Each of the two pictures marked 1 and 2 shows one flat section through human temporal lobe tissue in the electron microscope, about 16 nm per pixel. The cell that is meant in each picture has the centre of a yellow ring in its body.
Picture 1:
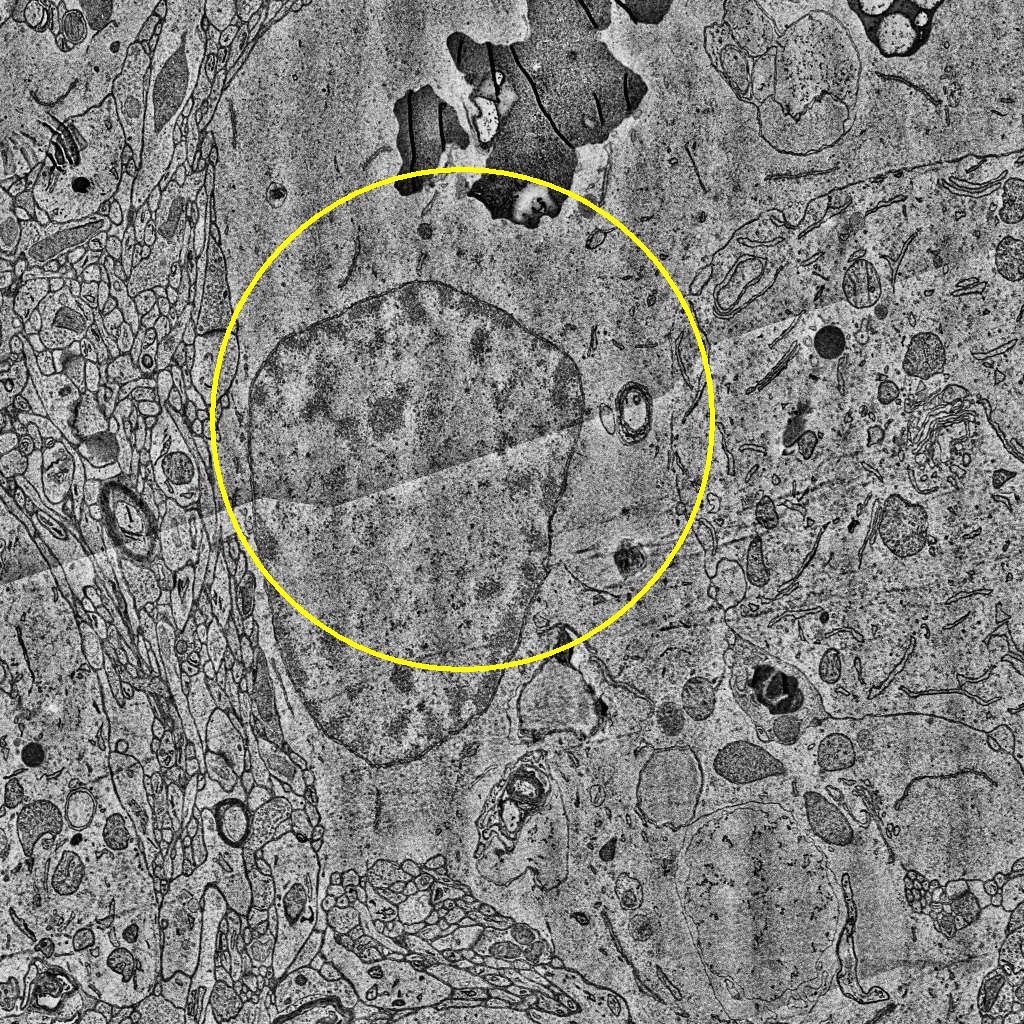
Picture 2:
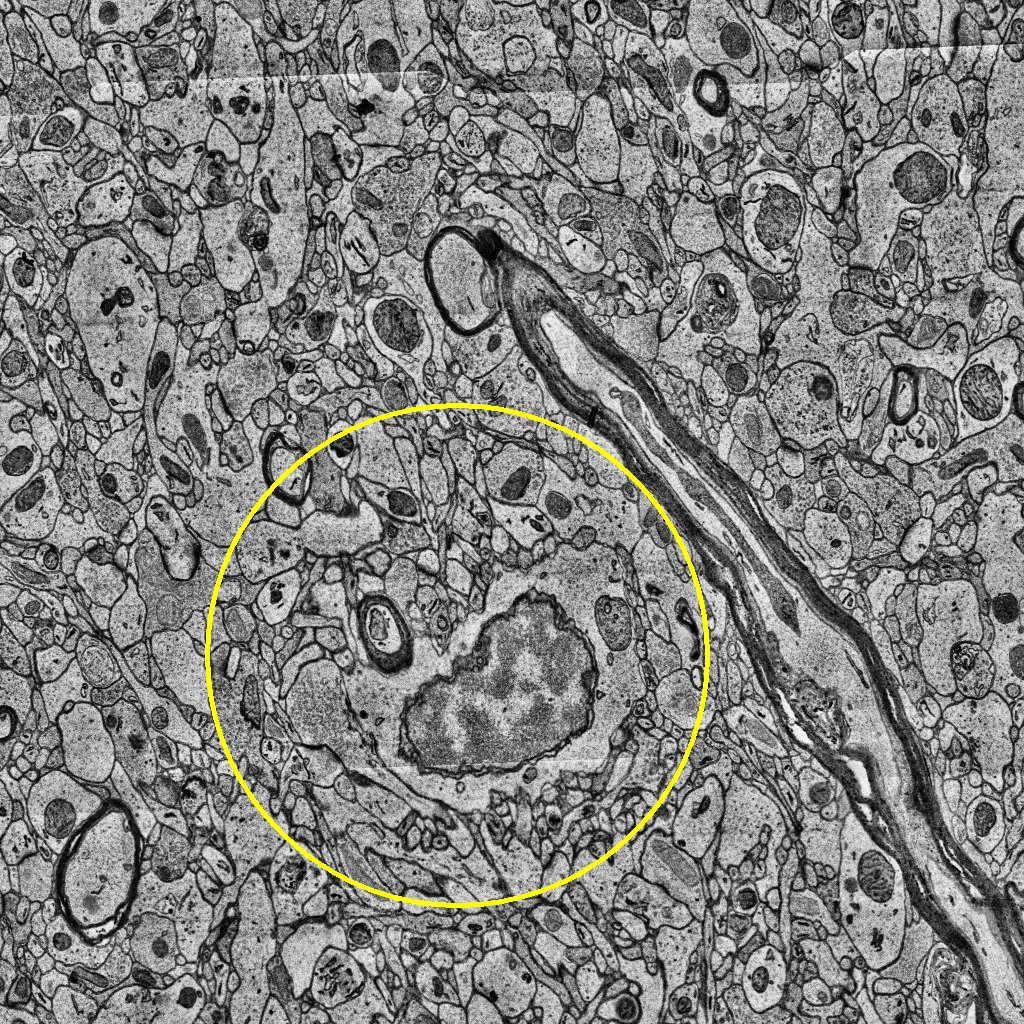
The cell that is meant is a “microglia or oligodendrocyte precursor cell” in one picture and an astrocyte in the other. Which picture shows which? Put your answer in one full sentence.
Picture 1 is of an astrocyte, and picture 2 is of a “microglia or oligodendrocyte precursor cell”.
